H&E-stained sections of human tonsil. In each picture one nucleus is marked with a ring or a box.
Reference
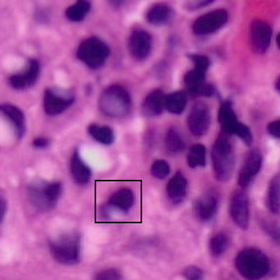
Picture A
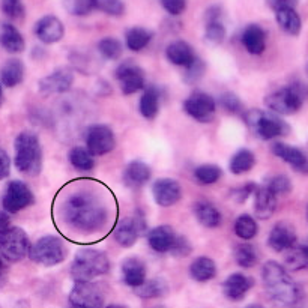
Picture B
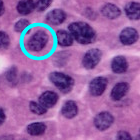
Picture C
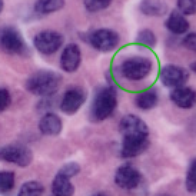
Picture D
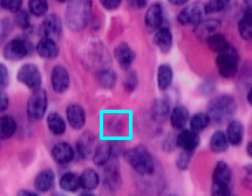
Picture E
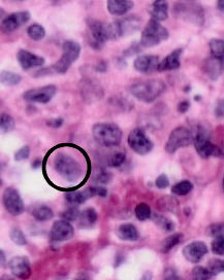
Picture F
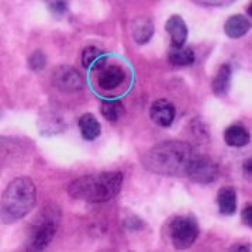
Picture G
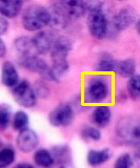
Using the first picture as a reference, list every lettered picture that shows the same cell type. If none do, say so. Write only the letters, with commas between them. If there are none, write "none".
none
